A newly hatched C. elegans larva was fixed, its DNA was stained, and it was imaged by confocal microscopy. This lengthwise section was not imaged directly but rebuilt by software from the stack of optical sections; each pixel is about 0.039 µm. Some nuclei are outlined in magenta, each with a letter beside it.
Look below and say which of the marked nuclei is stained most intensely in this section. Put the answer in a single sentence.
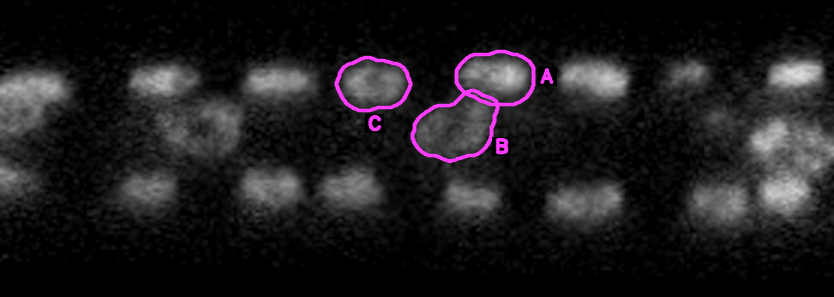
Nucleus A shows the strongest staining.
